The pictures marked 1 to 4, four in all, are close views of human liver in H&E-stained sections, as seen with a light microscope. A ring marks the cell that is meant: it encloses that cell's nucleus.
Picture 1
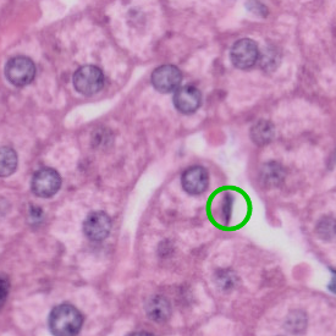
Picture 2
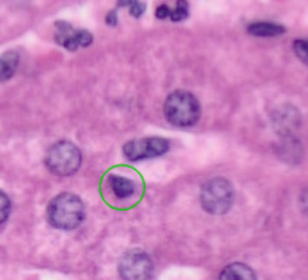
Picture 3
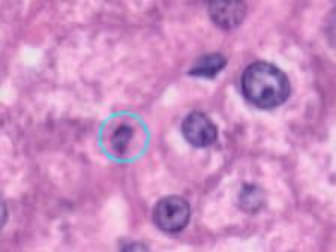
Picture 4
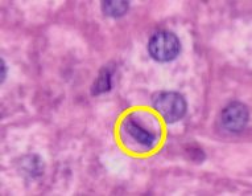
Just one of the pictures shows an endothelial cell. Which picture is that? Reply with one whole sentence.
The cell in picture 1 is the endothelial cell.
